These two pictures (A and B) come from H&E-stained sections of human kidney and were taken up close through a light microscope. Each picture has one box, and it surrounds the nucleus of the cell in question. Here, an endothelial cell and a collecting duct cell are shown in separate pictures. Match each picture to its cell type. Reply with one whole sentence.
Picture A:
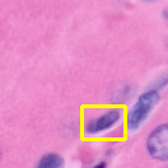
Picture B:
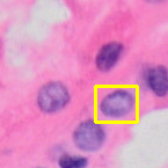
Picture A shows an endothelial cell and picture B shows a collecting duct cell.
